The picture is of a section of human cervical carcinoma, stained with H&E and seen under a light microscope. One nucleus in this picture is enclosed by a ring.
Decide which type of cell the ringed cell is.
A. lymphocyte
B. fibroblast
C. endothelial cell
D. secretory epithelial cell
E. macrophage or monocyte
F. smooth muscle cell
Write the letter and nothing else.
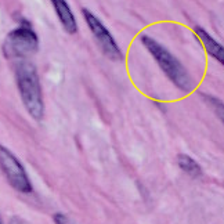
B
